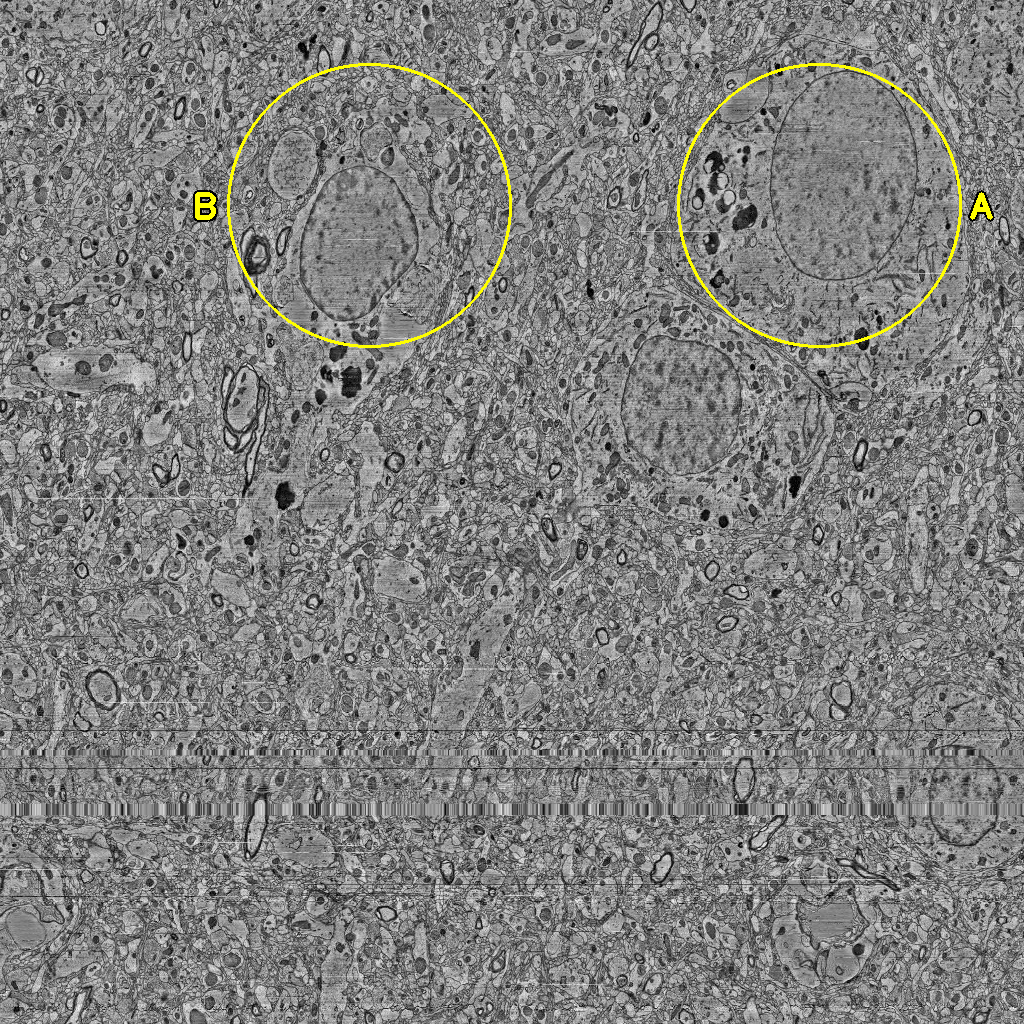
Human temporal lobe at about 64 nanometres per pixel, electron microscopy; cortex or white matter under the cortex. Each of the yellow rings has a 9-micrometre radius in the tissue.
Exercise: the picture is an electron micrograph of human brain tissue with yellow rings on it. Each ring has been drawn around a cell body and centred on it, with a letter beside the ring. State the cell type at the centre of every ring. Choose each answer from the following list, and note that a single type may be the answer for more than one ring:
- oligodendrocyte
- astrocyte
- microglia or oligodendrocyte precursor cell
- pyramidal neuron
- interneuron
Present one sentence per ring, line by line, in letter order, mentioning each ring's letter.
Ring A shows a pyramidal neuron at its centre.
Ring B shows an astrocyte at its centre.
